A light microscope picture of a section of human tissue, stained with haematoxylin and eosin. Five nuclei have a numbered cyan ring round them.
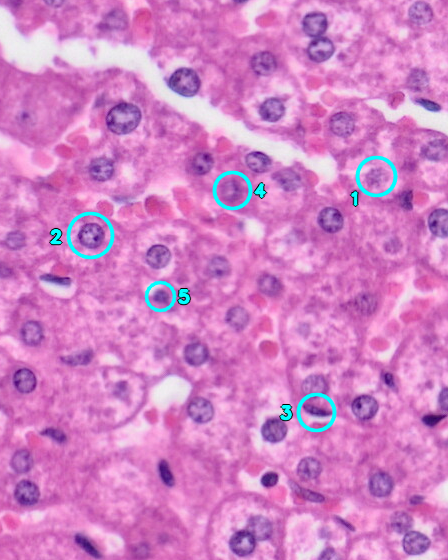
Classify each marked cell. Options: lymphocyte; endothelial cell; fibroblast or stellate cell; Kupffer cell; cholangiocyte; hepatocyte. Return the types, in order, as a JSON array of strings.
["hepatocyte", "hepatocyte", "endothelial cell", "hepatocyte", "lymphocyte"]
